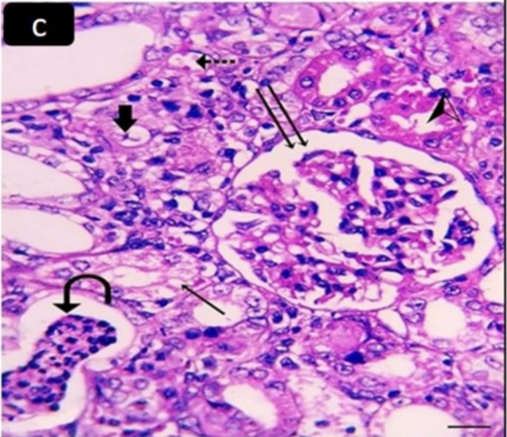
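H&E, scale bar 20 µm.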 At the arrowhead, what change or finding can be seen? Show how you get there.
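Small, deeply stained nuclei. The arrowhead points to a tubular lining cell with a small dark-blue nucleus.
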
